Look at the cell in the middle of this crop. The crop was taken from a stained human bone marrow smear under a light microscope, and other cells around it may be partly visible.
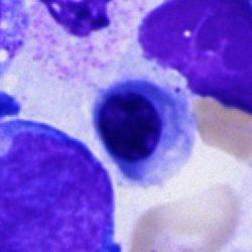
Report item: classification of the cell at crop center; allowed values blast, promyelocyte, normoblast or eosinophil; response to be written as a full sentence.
Occupying the centre of the crop is a normoblast.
